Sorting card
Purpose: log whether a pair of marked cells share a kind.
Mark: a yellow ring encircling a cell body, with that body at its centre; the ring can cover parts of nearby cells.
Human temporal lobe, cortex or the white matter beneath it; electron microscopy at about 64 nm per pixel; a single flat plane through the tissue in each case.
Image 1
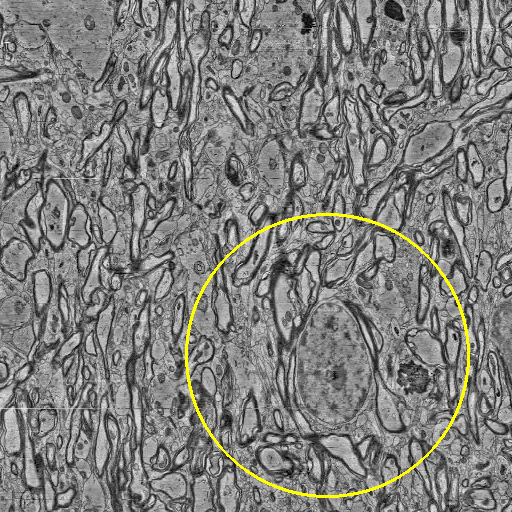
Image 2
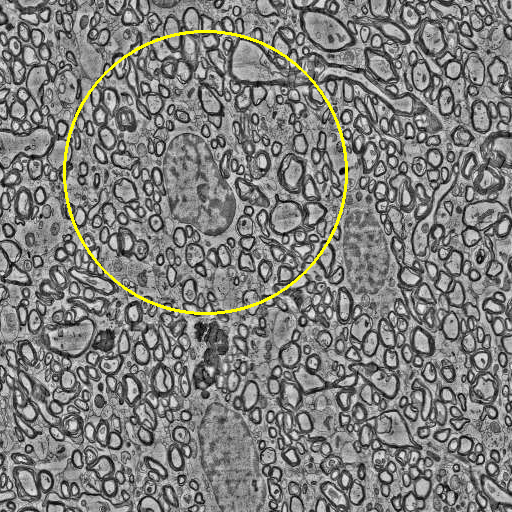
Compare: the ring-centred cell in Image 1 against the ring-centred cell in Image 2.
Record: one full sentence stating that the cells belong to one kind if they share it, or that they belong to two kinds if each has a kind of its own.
Across Images 1 and 2, the two ring-centred cells belong to one kind.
